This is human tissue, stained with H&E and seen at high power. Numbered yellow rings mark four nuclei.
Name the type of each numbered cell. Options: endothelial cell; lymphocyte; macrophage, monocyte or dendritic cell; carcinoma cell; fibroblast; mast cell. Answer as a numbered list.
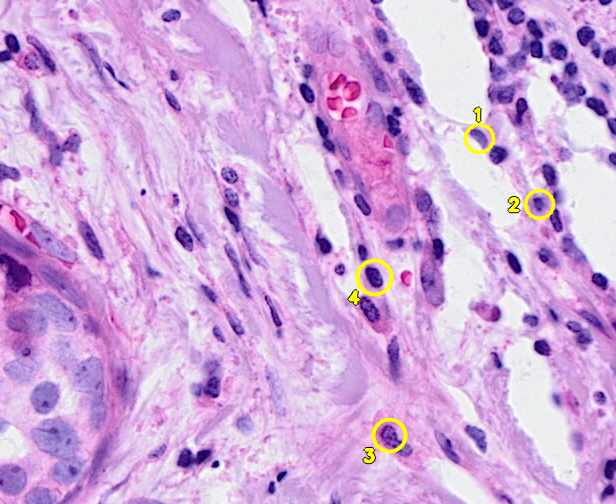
1. lymphocyte
2. lymphocyte
3. mast cell
4. lymphocyte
